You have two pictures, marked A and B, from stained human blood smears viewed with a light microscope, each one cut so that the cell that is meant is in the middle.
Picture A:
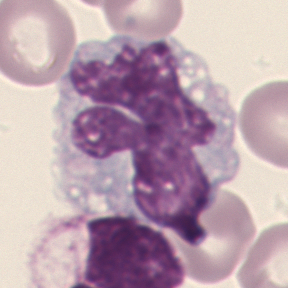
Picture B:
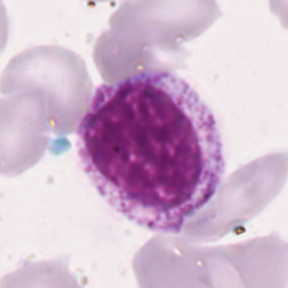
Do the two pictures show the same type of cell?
no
